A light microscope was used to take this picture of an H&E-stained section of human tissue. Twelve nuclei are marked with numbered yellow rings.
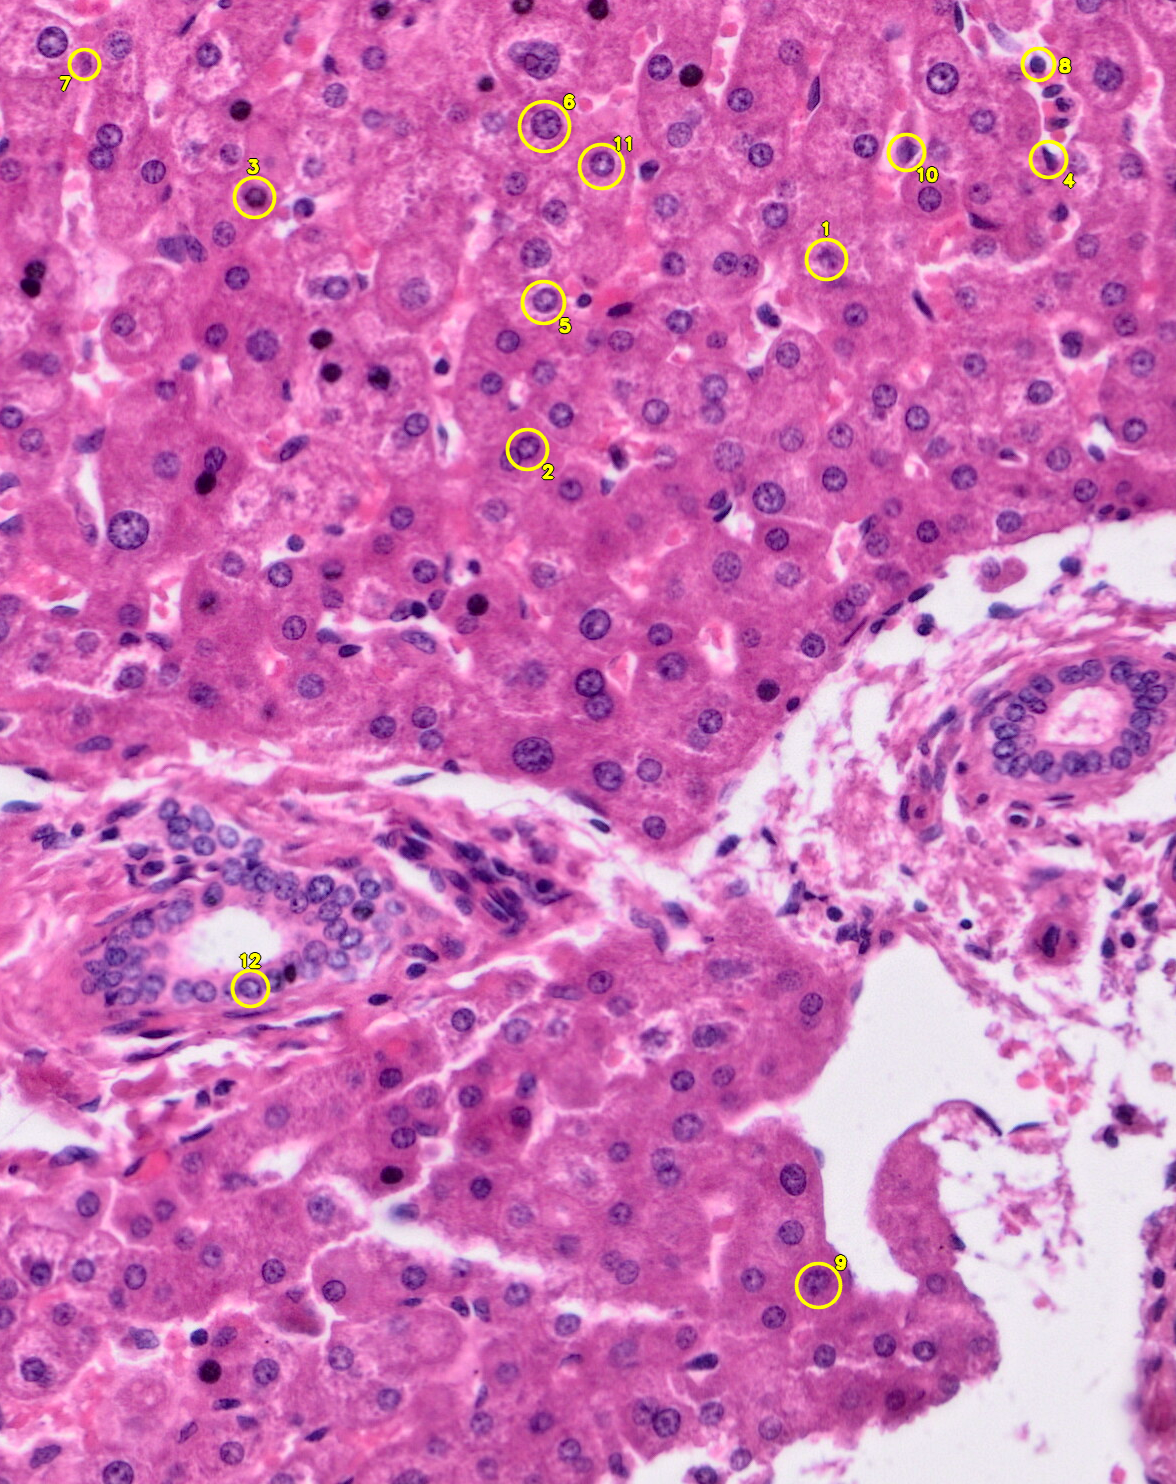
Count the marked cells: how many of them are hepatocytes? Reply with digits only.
7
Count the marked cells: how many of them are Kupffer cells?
1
